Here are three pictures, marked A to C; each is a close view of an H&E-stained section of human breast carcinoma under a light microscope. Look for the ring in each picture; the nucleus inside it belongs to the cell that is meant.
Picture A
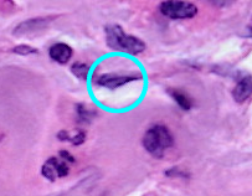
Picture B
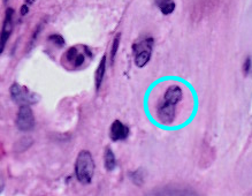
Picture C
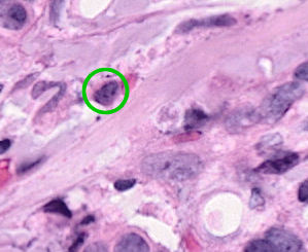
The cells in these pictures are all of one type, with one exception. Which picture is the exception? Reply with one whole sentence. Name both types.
Picture A is the odd one out: it shows a fibroblast, while the others show mast cells.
